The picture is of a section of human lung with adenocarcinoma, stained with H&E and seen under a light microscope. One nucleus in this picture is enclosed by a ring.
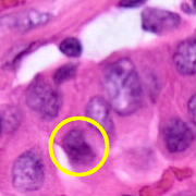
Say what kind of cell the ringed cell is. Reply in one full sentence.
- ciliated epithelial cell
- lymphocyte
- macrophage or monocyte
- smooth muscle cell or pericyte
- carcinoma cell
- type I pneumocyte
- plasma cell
As for its identity, the ringed cell is a carcinoma cell.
